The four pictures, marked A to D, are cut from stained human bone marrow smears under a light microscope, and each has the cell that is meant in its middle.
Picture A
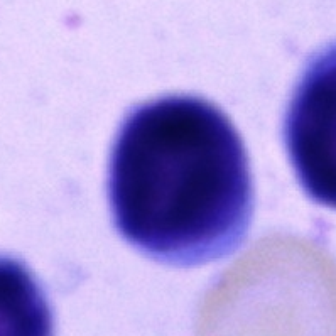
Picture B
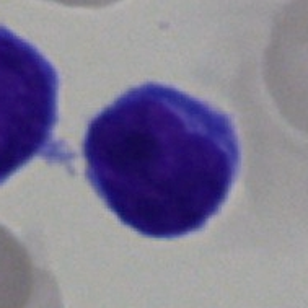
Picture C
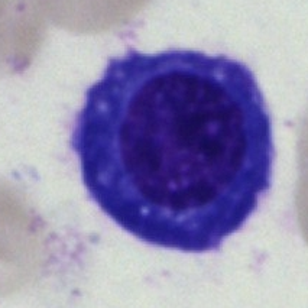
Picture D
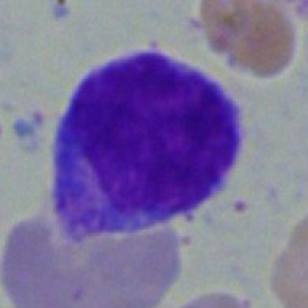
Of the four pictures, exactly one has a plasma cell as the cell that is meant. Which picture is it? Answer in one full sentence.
The picture with the plasma cell is C.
